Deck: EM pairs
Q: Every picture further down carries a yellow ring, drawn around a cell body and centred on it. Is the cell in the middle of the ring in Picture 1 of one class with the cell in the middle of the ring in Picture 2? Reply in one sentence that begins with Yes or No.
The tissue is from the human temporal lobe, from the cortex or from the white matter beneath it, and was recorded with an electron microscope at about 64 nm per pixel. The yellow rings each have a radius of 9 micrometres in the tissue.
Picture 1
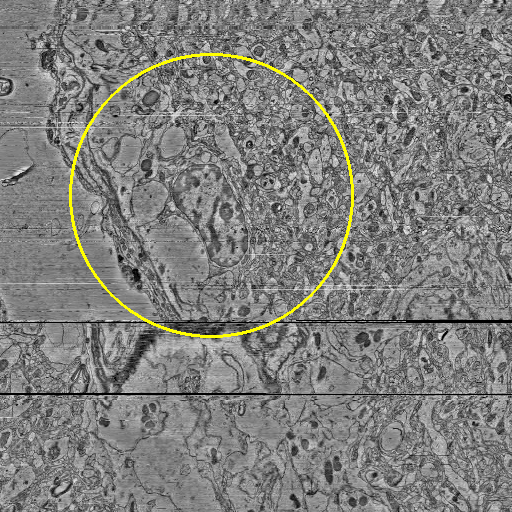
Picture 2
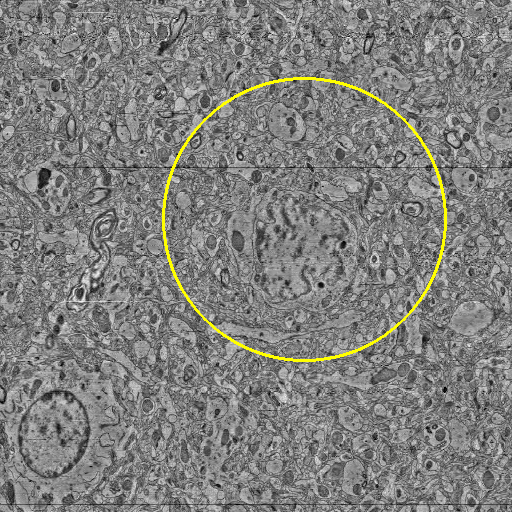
No, the cell centred in the ring of Picture 1 and the one in Picture 2 belong to separate classes.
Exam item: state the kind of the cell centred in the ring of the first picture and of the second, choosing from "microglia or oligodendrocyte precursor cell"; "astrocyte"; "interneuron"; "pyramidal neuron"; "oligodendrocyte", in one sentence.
The first picture shows a microglial cell or oligodendrocyte precursor cell at the ring centre and the second shows an interneuron.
